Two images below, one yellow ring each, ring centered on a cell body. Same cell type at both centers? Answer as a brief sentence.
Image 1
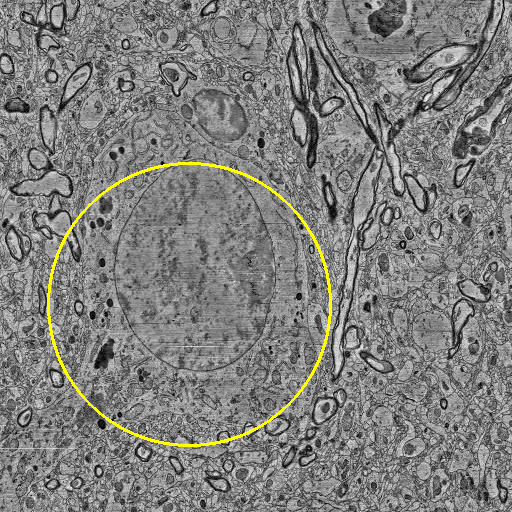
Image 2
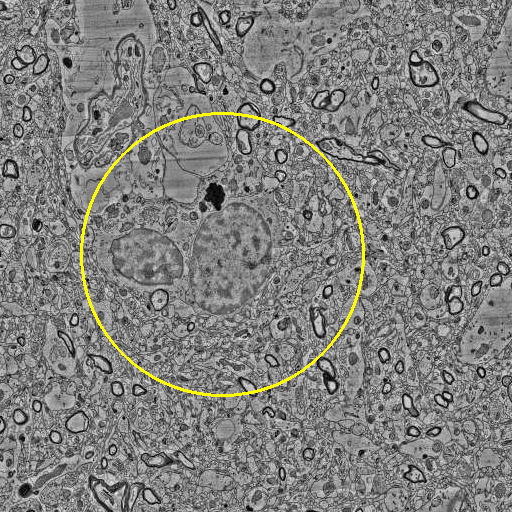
No, the cells are of two separate types.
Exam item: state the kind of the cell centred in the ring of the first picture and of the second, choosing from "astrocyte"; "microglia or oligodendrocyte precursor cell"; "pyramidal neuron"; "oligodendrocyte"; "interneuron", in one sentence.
The first picture shows a pyramidal neuron at the ring centre and the second shows an oligodendrocyte.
